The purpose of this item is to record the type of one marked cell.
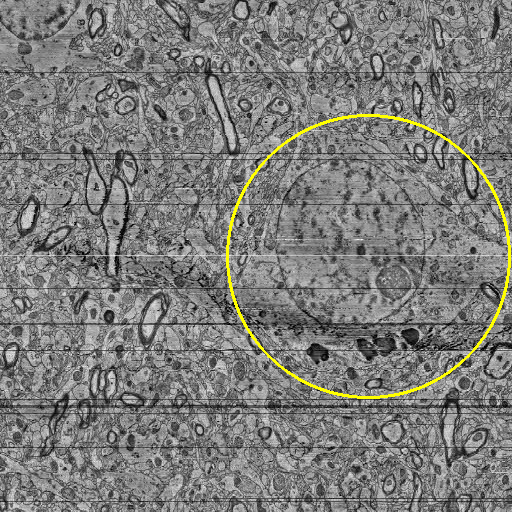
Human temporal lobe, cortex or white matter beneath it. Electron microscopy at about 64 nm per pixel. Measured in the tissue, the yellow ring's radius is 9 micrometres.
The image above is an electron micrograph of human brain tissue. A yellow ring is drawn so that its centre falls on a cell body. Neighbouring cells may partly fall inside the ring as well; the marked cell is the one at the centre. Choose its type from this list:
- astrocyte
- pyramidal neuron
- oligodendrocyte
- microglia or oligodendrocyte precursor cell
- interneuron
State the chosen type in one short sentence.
What the ring marks here is a pyramidal neuron.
